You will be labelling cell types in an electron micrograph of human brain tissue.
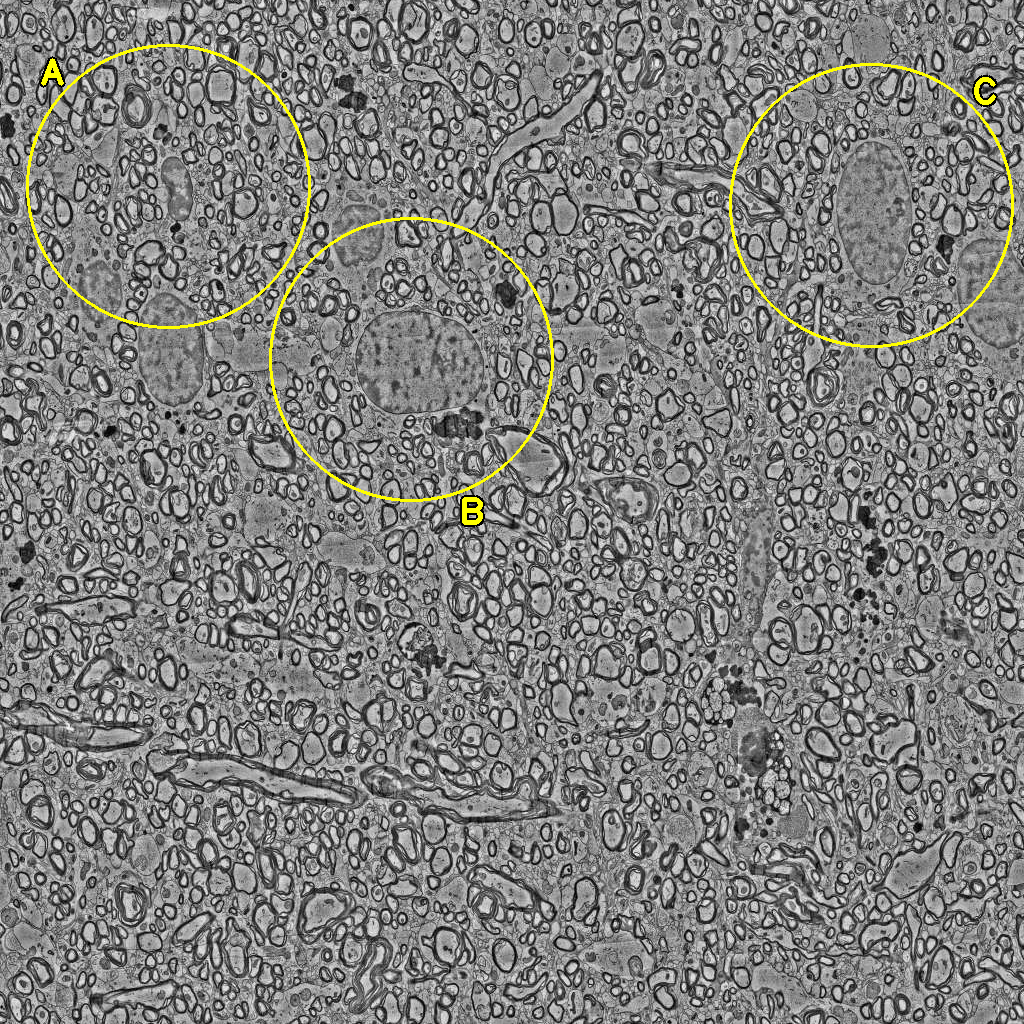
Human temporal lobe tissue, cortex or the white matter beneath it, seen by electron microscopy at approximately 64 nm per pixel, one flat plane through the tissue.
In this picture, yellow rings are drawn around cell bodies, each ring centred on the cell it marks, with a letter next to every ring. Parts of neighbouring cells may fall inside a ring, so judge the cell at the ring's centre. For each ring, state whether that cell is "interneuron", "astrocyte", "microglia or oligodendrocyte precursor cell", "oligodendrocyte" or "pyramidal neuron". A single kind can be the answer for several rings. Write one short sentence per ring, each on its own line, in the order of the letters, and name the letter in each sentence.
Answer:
Ring A contains a microglial cell or oligodendrocyte precursor cell at its centre.
Ring B contains a microglial cell or oligodendrocyte precursor cell at its centre.
Ring C contains an oligodendrocyte at its centre.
